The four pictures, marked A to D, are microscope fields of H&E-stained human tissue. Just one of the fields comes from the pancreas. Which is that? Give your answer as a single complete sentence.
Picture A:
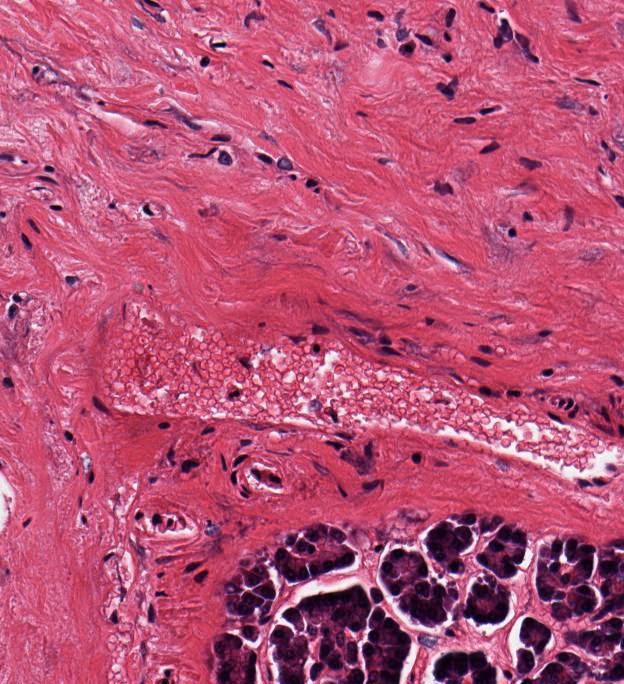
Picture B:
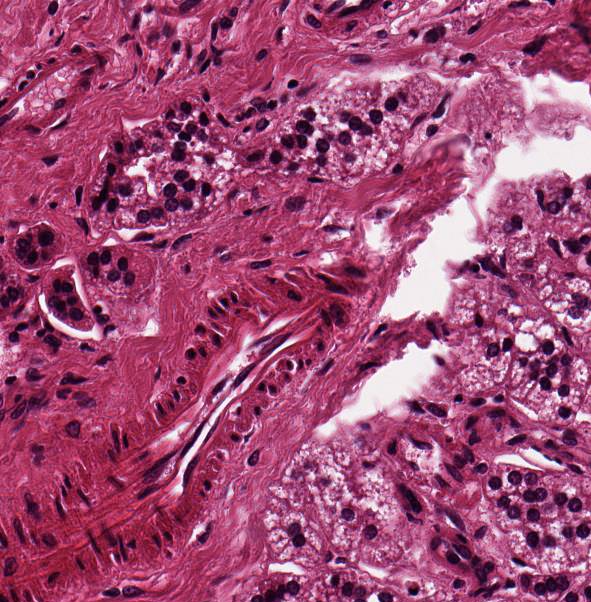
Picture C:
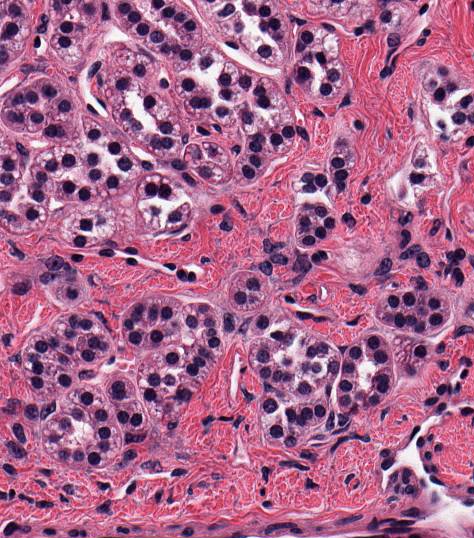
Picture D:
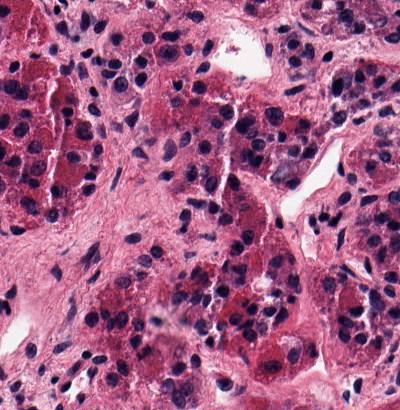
Picture A is the field that comes from the pancreas.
